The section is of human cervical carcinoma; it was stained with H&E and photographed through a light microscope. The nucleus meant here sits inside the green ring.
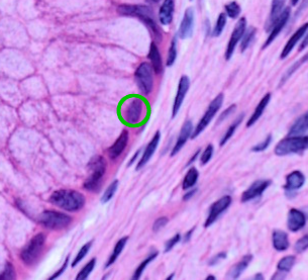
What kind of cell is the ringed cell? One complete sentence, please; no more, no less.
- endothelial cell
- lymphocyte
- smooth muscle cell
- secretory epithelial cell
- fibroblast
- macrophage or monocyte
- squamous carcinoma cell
The category to which the ringed cell belongs is that of a secretory epithelial cell.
